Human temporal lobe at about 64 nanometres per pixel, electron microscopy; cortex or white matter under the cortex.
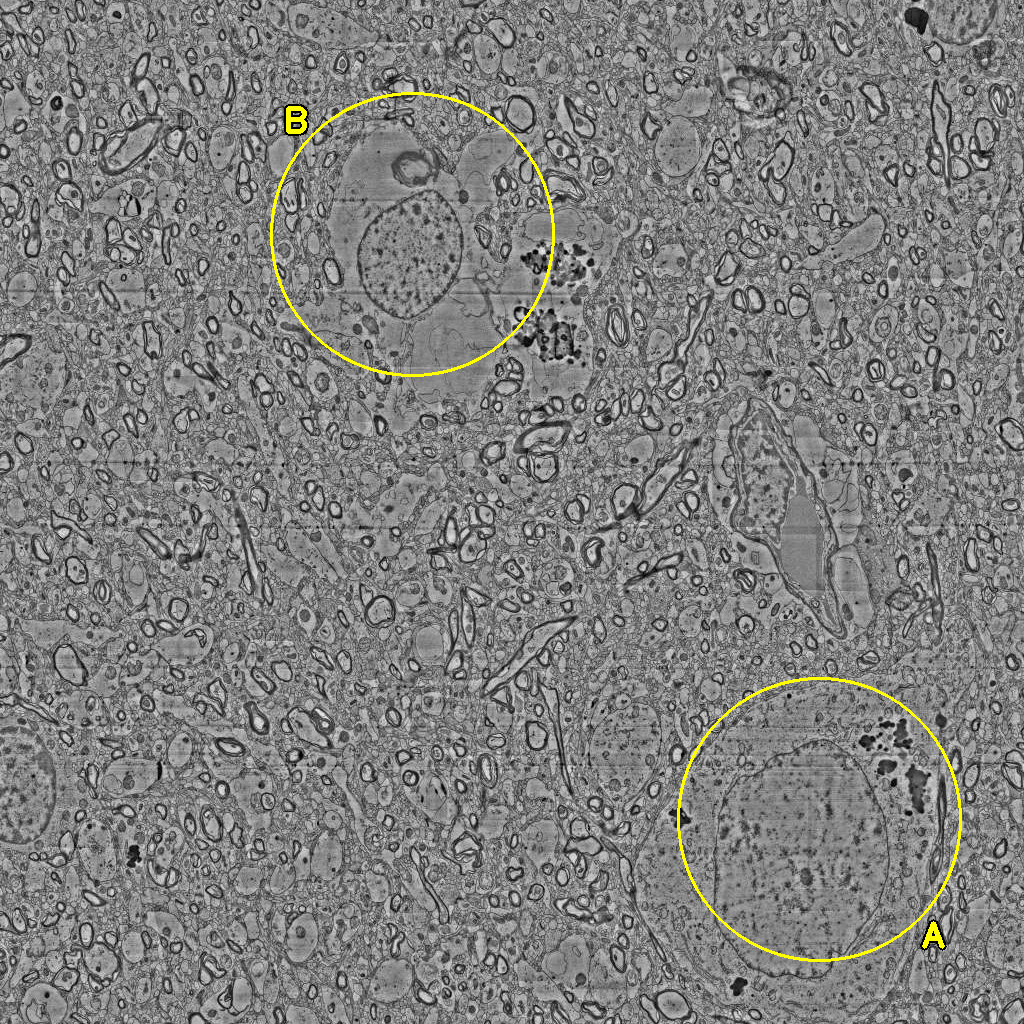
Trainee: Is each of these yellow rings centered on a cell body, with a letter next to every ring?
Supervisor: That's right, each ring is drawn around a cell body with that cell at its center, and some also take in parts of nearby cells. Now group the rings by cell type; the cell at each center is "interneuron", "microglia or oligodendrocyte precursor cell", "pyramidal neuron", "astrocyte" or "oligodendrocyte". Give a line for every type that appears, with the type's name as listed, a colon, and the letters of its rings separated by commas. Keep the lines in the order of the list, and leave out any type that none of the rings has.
pyramidal neuron: A
astrocyte: B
